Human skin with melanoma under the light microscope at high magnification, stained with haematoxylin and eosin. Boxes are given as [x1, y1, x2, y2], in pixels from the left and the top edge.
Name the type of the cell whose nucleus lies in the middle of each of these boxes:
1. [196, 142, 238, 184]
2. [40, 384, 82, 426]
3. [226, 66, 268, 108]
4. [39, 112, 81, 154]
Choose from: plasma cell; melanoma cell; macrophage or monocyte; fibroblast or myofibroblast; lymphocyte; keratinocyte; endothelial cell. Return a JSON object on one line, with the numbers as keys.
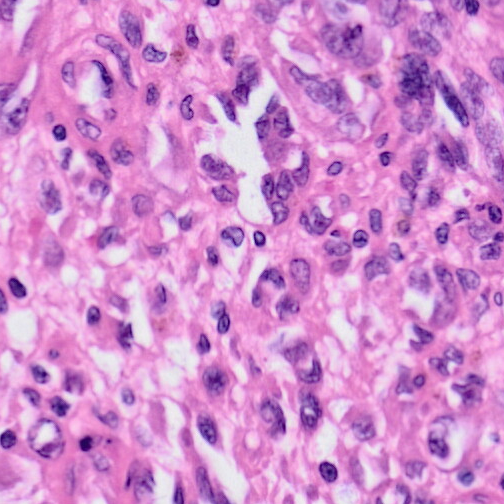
{"1": "melanoma cell", "2": "lymphocyte", "3": "melanoma cell", "4": "lymphocyte"}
